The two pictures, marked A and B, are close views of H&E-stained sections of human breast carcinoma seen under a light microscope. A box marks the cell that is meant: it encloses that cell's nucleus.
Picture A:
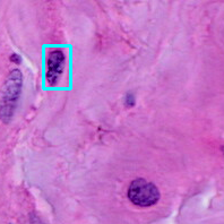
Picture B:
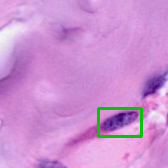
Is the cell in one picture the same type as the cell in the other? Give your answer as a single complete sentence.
Yes, the two pictures both show mast cells.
